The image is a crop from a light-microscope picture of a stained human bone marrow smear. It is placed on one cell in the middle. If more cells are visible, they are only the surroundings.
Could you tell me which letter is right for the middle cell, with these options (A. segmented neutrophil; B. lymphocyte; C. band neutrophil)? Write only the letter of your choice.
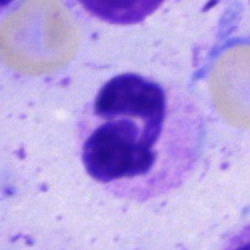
A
